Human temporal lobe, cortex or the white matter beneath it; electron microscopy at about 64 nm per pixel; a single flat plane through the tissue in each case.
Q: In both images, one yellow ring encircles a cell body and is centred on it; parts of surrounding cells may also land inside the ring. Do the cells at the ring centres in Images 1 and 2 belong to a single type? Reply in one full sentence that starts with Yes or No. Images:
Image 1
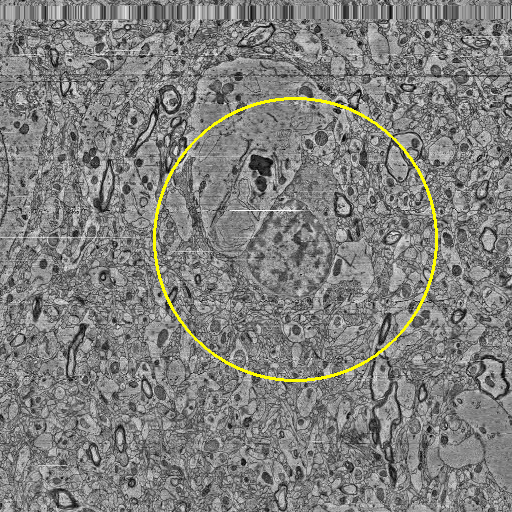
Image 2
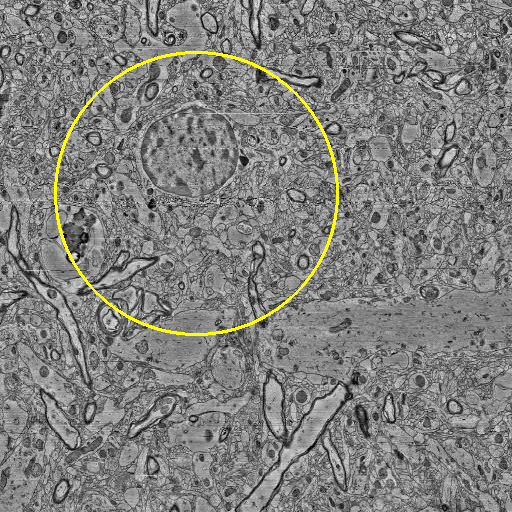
No, the cells at the ring centres in Images 1 and 2 are of two types.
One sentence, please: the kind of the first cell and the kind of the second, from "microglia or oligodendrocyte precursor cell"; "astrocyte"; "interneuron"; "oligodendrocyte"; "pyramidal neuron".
The ring in the first picture surrounds an oligodendrocyte, and the ring in the second surrounds a microglial cell or oligodendrocyte precursor cell.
